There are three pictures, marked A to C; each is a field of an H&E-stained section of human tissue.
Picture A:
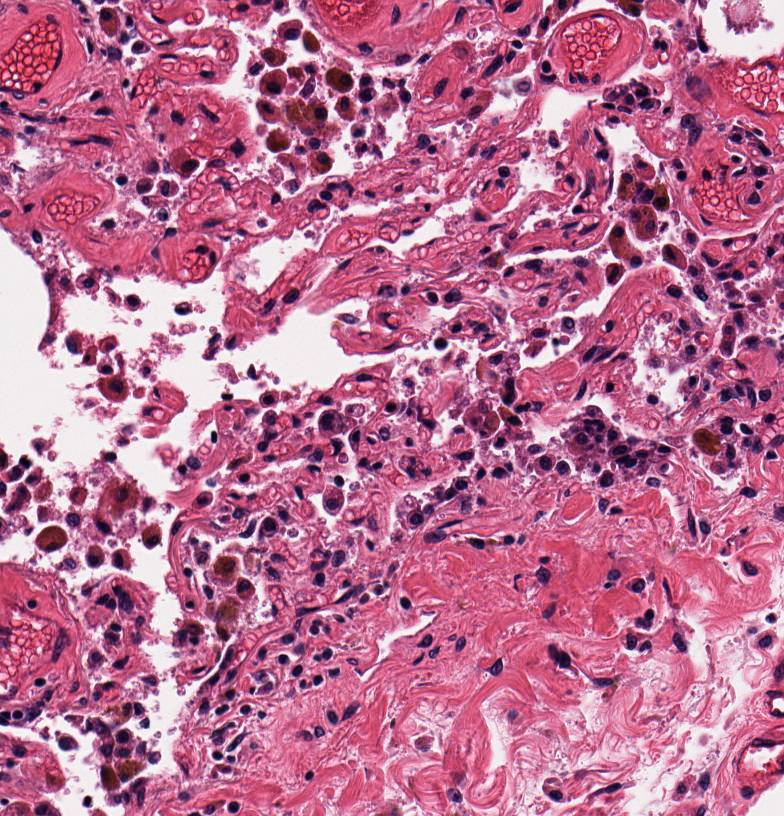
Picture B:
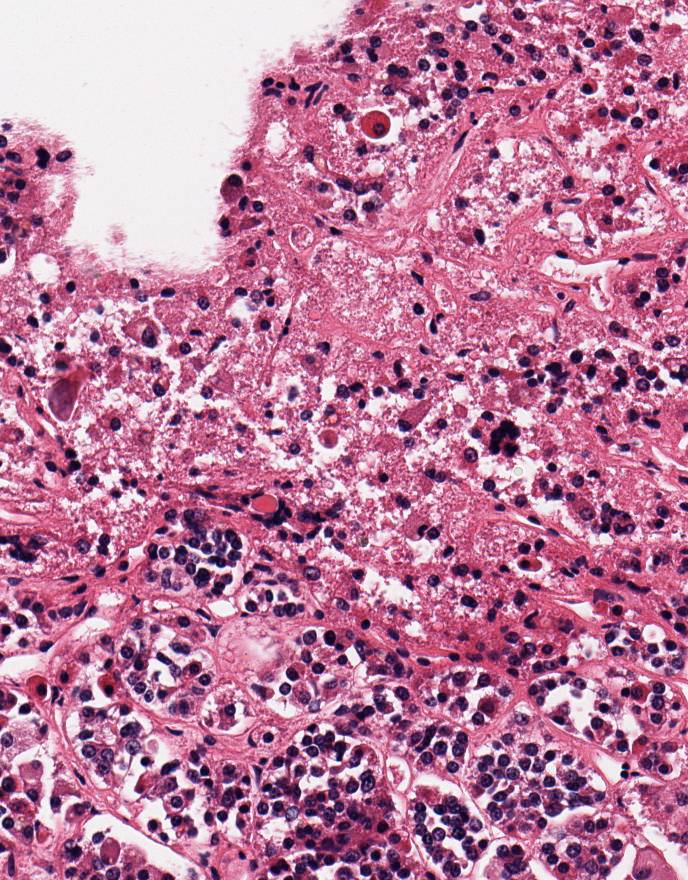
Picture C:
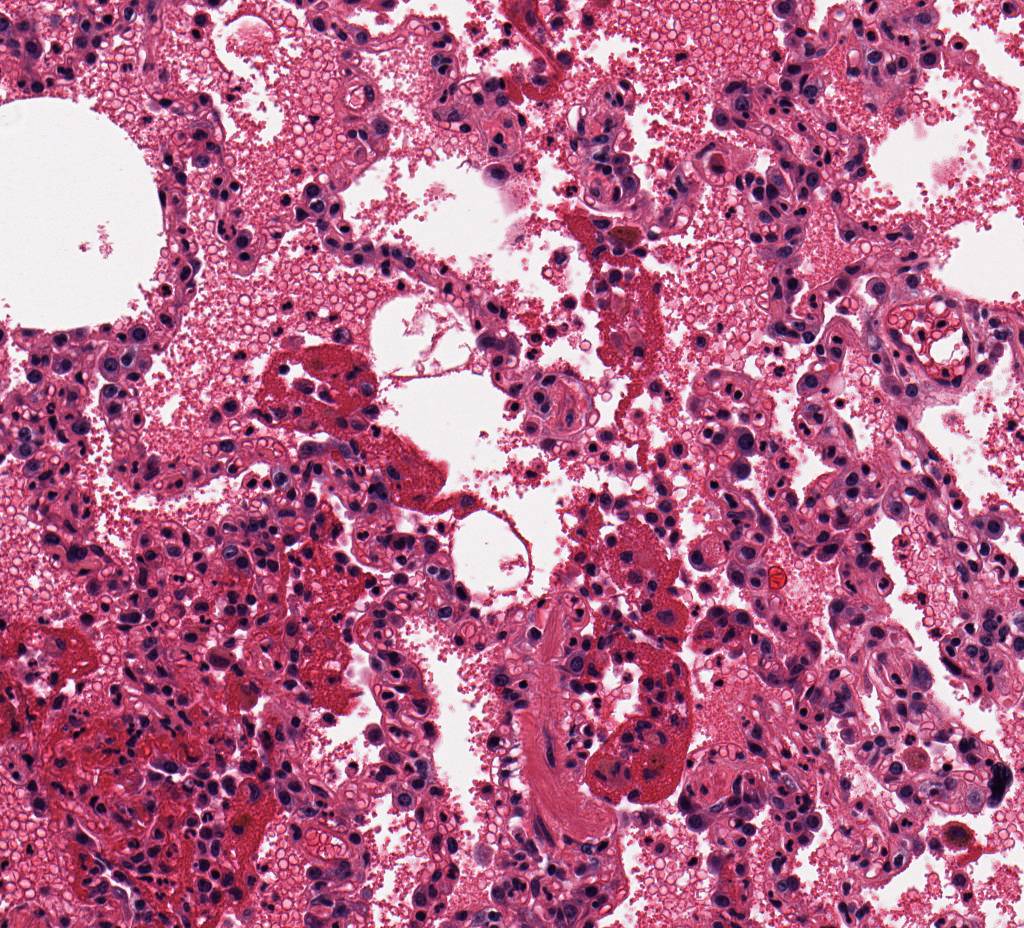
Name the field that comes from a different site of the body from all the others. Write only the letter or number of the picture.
B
